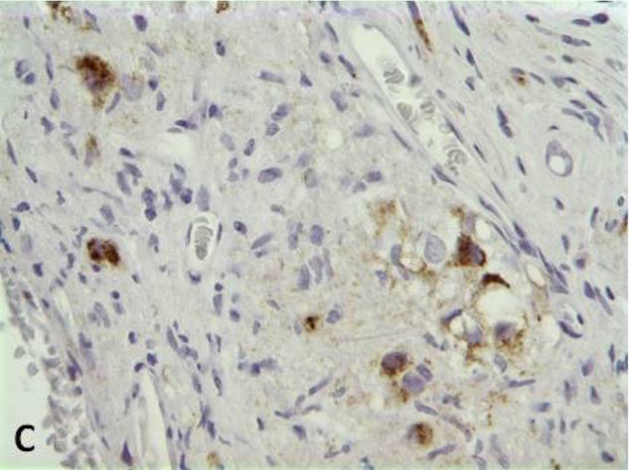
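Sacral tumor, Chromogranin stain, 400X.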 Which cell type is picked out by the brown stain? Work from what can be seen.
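Scattered large cells with abundant cytoplasm hold granular brown stain. These large cells have round nuclei and stand out among many small spindle-shaped blue nuclei. So: ganglion cells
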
